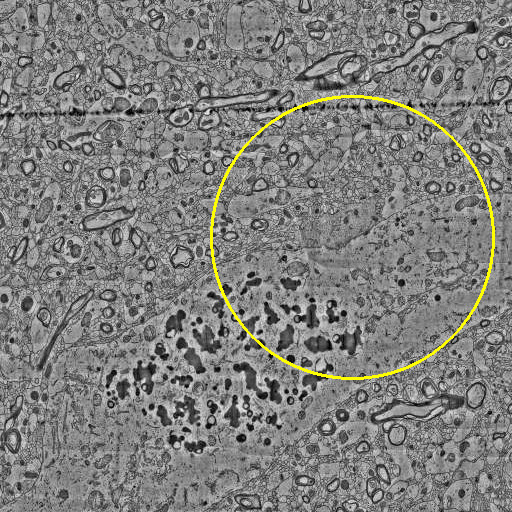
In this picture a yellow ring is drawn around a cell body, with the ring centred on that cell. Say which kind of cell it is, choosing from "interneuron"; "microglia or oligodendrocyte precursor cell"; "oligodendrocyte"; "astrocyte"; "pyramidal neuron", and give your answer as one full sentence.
Here it is an oligodendrocyte that sits at the centre of the drawn yellow ring.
